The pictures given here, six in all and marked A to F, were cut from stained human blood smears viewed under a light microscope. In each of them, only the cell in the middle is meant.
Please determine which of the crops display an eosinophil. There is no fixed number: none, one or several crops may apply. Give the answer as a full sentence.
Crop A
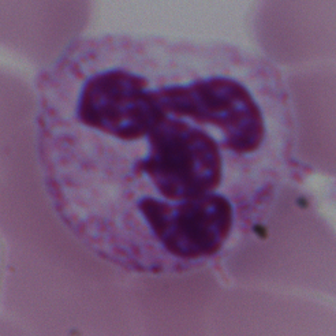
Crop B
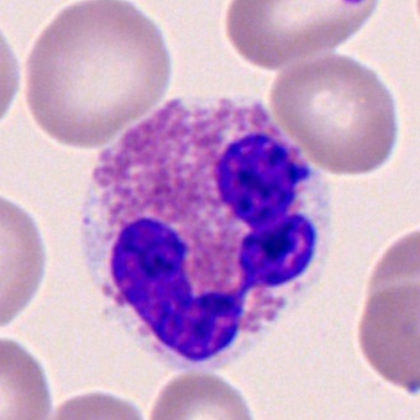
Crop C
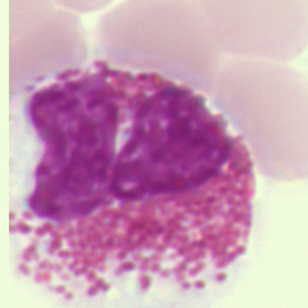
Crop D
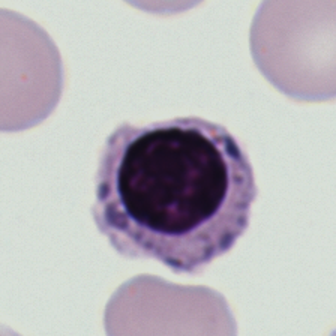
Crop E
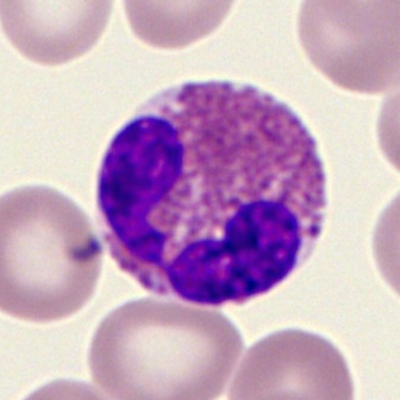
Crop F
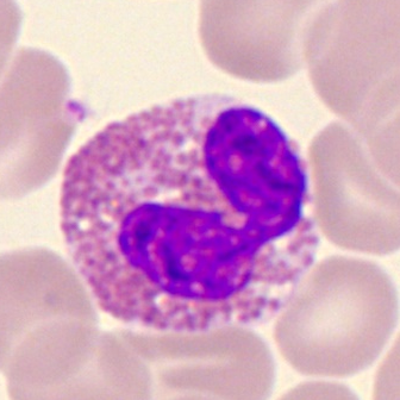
Of the crops given, crops B, C, E and F show eosinophils.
